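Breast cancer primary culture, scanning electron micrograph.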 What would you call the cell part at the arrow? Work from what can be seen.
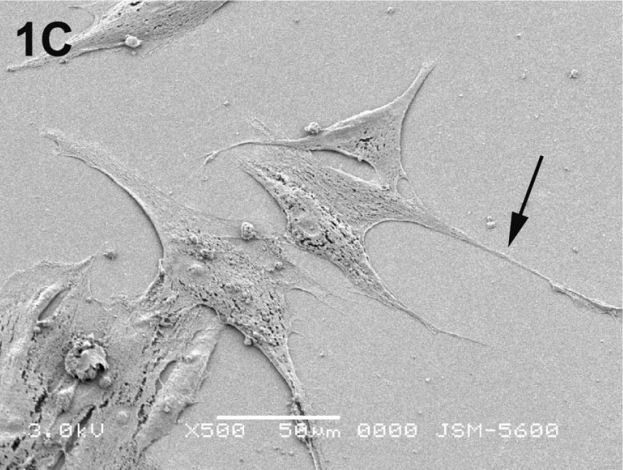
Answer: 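Cytoplasmic extensions. The arrow points to a long thin process stretching from a flat cell body. The process tapers as it runs over the smooth substrate.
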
